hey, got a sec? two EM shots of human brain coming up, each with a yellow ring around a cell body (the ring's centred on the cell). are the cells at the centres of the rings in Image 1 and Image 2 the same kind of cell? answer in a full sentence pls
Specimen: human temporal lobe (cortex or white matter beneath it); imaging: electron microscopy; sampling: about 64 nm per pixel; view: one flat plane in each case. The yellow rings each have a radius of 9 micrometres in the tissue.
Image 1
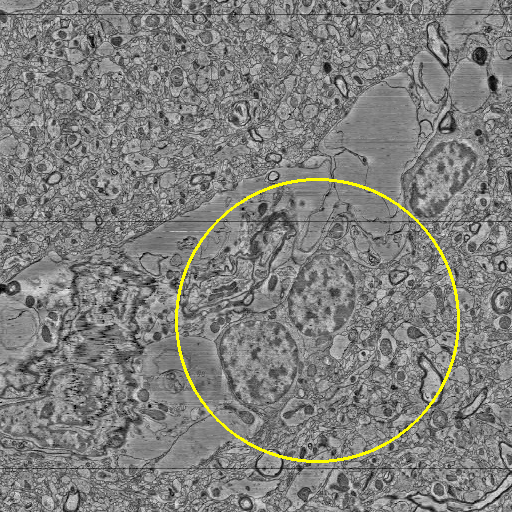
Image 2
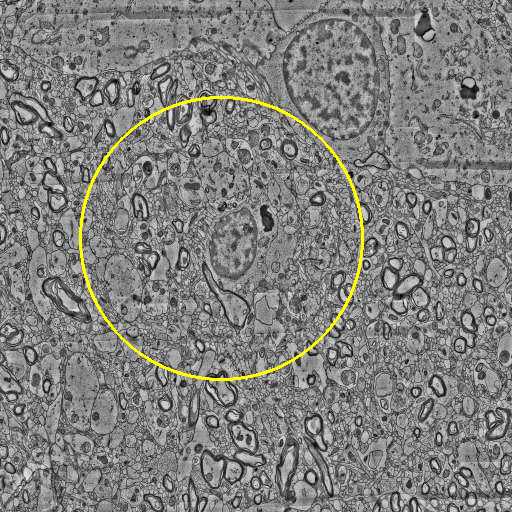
Yes, both are the same kind of cell.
